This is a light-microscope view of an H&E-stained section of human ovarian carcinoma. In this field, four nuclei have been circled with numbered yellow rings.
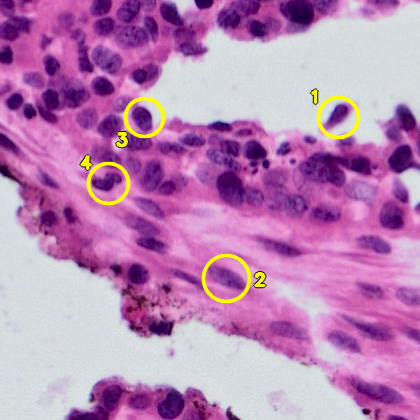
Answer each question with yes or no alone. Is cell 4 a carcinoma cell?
no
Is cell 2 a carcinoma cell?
no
